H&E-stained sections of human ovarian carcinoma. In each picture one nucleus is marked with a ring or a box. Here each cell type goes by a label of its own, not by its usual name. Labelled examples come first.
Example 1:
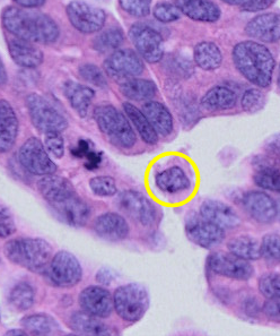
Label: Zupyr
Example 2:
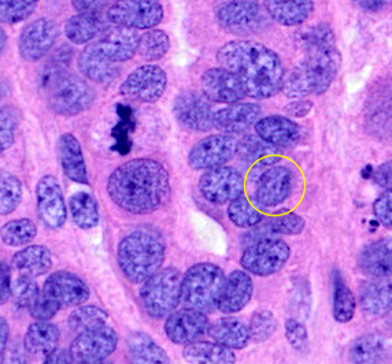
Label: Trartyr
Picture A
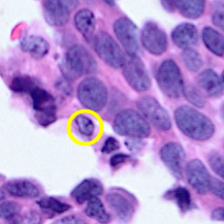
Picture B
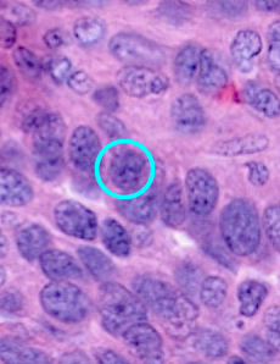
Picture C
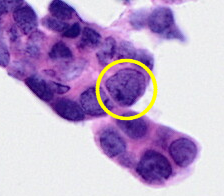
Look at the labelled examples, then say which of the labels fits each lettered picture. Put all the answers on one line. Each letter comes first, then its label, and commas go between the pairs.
A Zupyr, B Trartyr, C Trartyr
